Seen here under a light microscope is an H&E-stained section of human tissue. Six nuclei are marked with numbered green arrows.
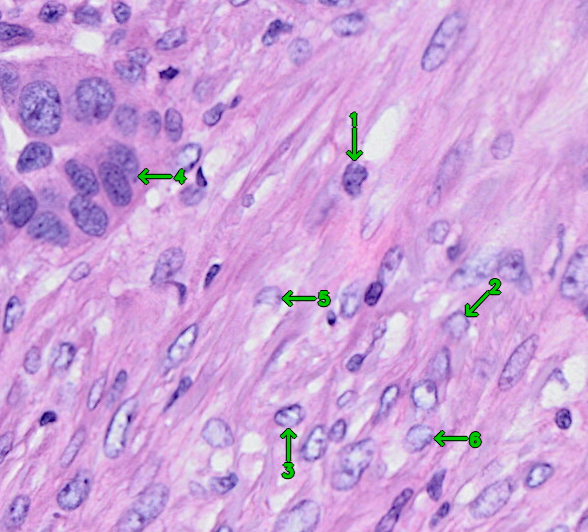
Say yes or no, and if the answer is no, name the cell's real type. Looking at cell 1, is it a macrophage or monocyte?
Yes.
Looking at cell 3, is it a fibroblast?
Yes.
